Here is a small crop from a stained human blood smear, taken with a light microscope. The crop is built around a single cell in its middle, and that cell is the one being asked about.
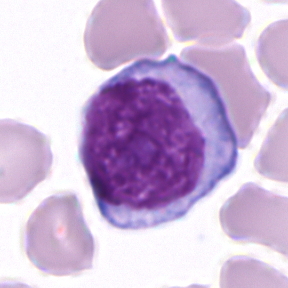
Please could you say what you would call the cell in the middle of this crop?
plasma cell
